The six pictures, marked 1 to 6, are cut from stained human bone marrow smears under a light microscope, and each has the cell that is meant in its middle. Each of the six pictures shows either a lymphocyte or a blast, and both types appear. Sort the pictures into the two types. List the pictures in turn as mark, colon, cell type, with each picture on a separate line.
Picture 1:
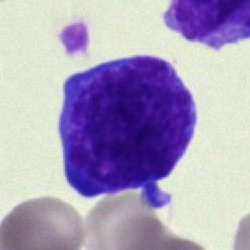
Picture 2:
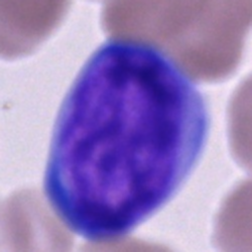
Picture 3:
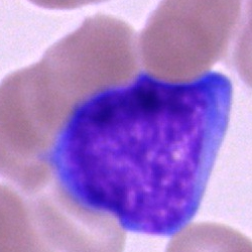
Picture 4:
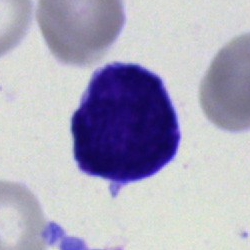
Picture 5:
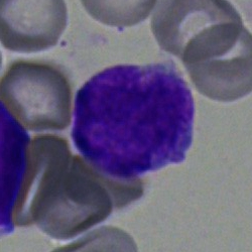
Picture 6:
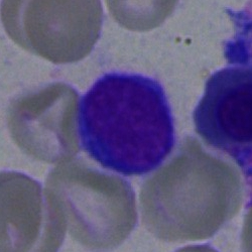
1: blast
2: blast
3: blast
4: blast
5: lymphocyte
6: lymphocyte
